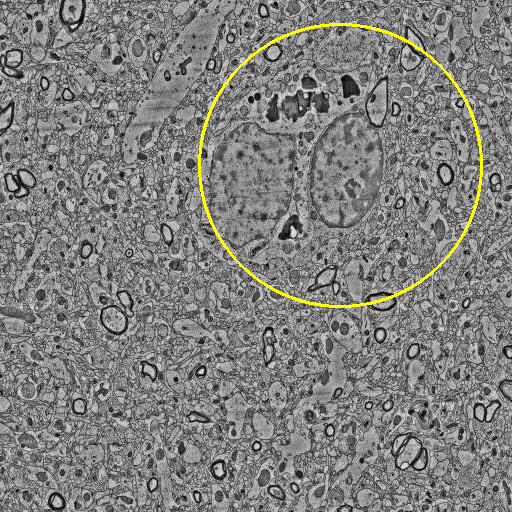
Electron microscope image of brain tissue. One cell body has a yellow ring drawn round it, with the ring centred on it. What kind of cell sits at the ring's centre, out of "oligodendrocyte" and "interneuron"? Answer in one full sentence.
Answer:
It is an oligodendrocyte whose cell body sits at the centre of the yellow ring.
